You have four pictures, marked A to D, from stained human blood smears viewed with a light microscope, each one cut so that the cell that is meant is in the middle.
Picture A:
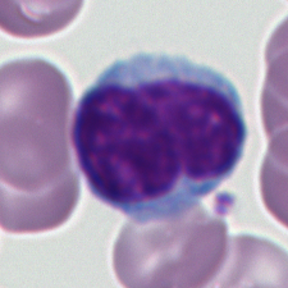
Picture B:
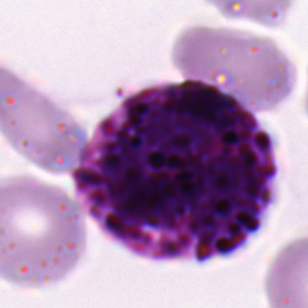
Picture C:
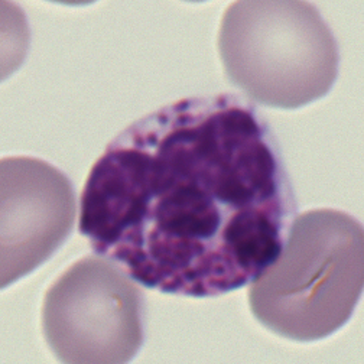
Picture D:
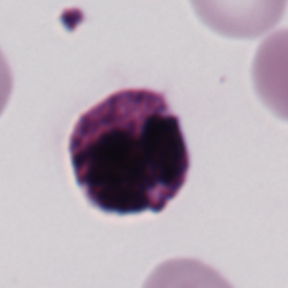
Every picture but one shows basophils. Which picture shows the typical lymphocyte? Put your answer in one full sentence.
It is picture A that shows the typical lymphocyte.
